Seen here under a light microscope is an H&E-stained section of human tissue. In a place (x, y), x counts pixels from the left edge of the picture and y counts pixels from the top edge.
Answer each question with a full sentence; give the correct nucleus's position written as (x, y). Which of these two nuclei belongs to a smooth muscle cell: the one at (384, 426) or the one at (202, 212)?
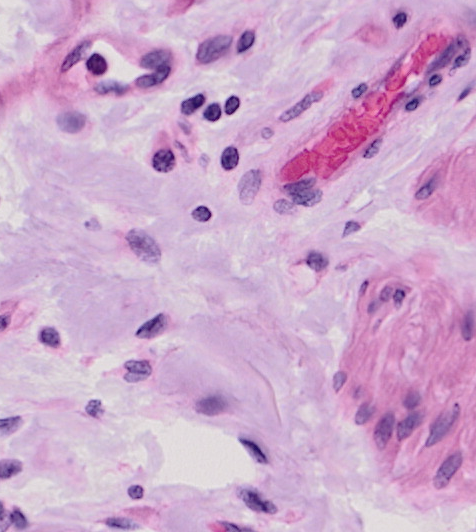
The nucleus at (384, 426) is assigned to a smooth muscle cell.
